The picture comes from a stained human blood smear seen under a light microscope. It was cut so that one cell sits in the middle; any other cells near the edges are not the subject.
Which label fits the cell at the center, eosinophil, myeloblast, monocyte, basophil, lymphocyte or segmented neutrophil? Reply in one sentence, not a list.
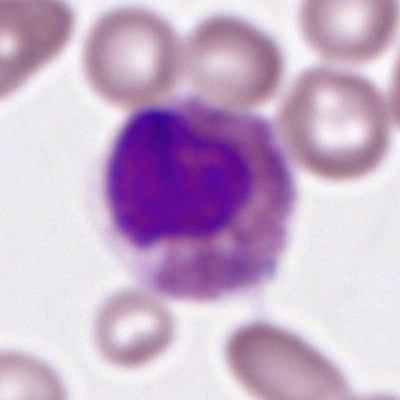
The cell shown in the center of this light-microscope crop is an eosinophil.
